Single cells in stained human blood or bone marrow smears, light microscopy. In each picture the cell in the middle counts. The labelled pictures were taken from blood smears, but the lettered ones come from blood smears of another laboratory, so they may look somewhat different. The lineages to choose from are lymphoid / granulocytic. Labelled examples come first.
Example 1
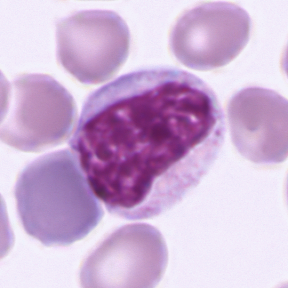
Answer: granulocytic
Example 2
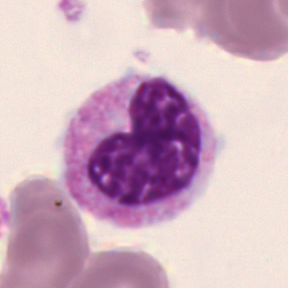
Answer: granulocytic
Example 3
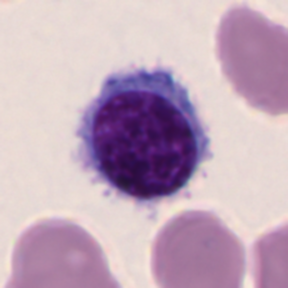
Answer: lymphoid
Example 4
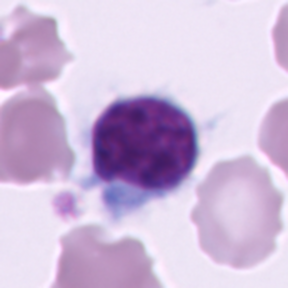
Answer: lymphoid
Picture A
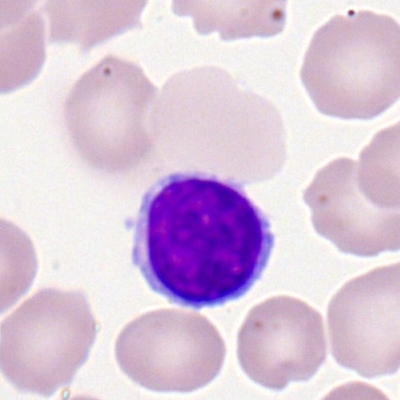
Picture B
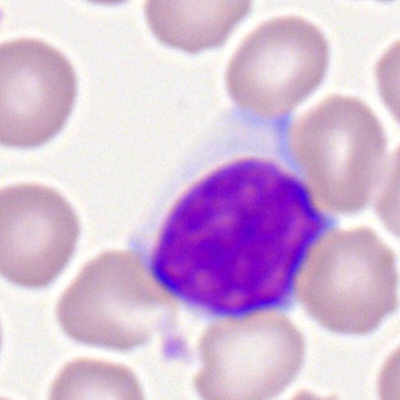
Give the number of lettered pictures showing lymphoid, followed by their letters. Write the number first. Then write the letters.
2, namely A, B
